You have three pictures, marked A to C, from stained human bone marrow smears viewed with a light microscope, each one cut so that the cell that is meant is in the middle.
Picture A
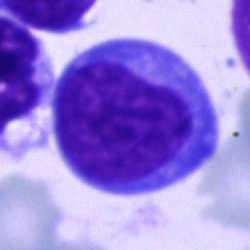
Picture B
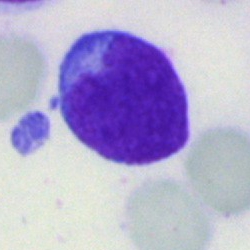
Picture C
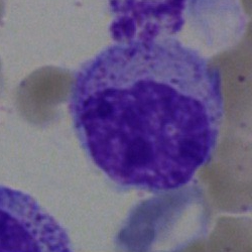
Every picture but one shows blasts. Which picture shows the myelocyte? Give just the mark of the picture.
C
